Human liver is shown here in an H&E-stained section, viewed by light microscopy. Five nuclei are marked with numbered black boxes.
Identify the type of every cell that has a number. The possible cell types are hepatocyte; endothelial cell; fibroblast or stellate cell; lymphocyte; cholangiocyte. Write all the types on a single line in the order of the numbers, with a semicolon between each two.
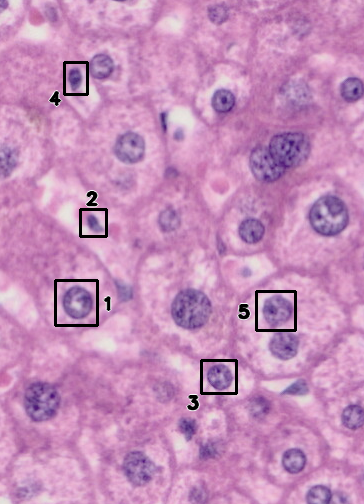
hepatocyte; lymphocyte; hepatocyte; lymphocyte; hepatocyte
